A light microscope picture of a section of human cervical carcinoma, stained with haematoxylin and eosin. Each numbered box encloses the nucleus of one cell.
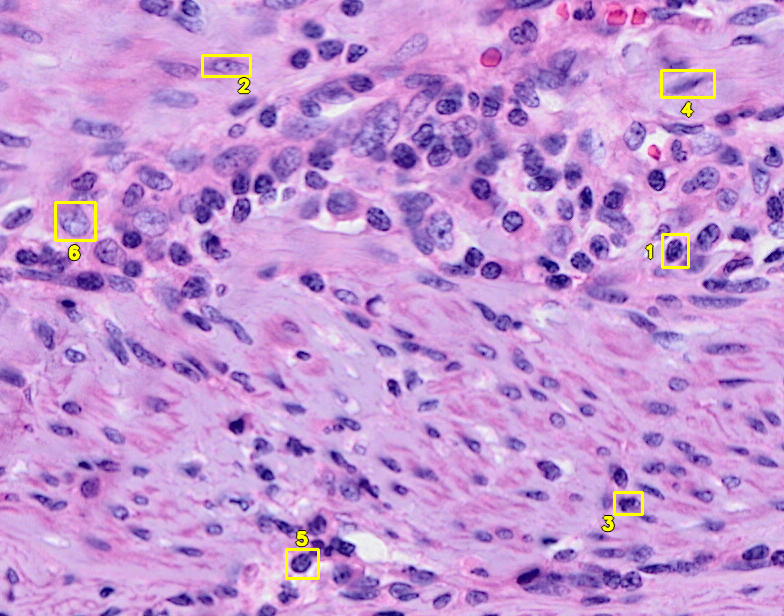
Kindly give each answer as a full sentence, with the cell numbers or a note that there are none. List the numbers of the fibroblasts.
Of those with numbers, only cell 4 is a fibroblast.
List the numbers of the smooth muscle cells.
Just one of the numbered cells is a smooth muscle cell, namely number 2.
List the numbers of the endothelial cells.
Only the cell numbered 6 is an endothelial cell, and the others are something else.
